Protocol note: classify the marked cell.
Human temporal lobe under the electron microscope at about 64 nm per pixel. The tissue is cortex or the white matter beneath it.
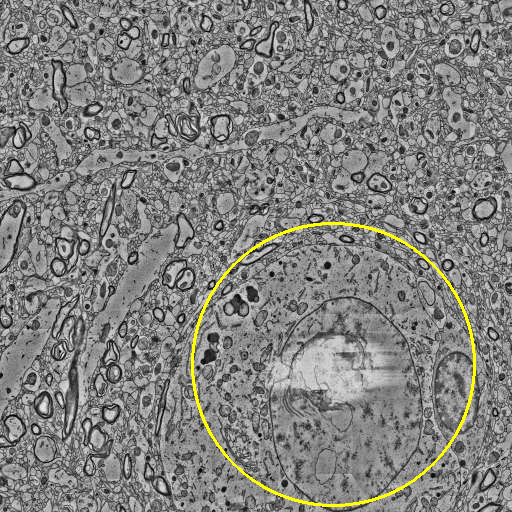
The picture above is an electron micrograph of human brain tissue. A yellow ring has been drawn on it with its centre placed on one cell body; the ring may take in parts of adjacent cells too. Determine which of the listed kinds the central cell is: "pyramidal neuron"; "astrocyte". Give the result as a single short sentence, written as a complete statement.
The central cell is a pyramidal neuron.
